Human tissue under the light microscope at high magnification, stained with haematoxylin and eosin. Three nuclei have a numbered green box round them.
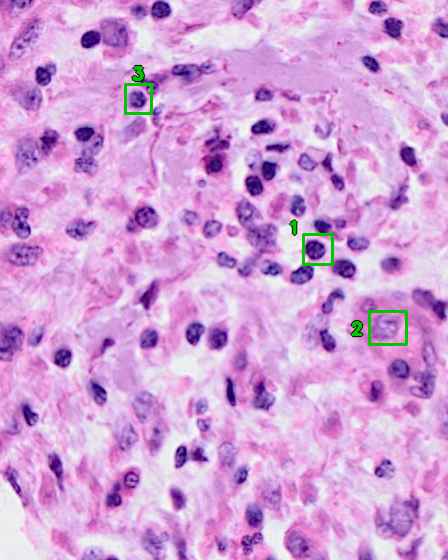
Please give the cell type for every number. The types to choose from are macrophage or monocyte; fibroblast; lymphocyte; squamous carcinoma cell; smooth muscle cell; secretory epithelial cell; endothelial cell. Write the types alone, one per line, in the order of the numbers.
lymphocyte
endothelial cell
lymphocyte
